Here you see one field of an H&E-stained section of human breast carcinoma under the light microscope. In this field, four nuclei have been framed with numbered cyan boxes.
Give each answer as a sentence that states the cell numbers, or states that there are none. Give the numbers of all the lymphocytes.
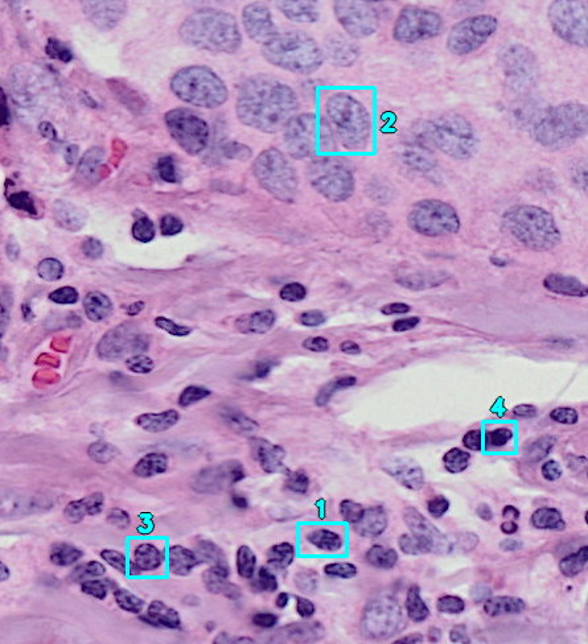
Within this tissue, the cells numbered 1, 3 and 4 are lymphocytes.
